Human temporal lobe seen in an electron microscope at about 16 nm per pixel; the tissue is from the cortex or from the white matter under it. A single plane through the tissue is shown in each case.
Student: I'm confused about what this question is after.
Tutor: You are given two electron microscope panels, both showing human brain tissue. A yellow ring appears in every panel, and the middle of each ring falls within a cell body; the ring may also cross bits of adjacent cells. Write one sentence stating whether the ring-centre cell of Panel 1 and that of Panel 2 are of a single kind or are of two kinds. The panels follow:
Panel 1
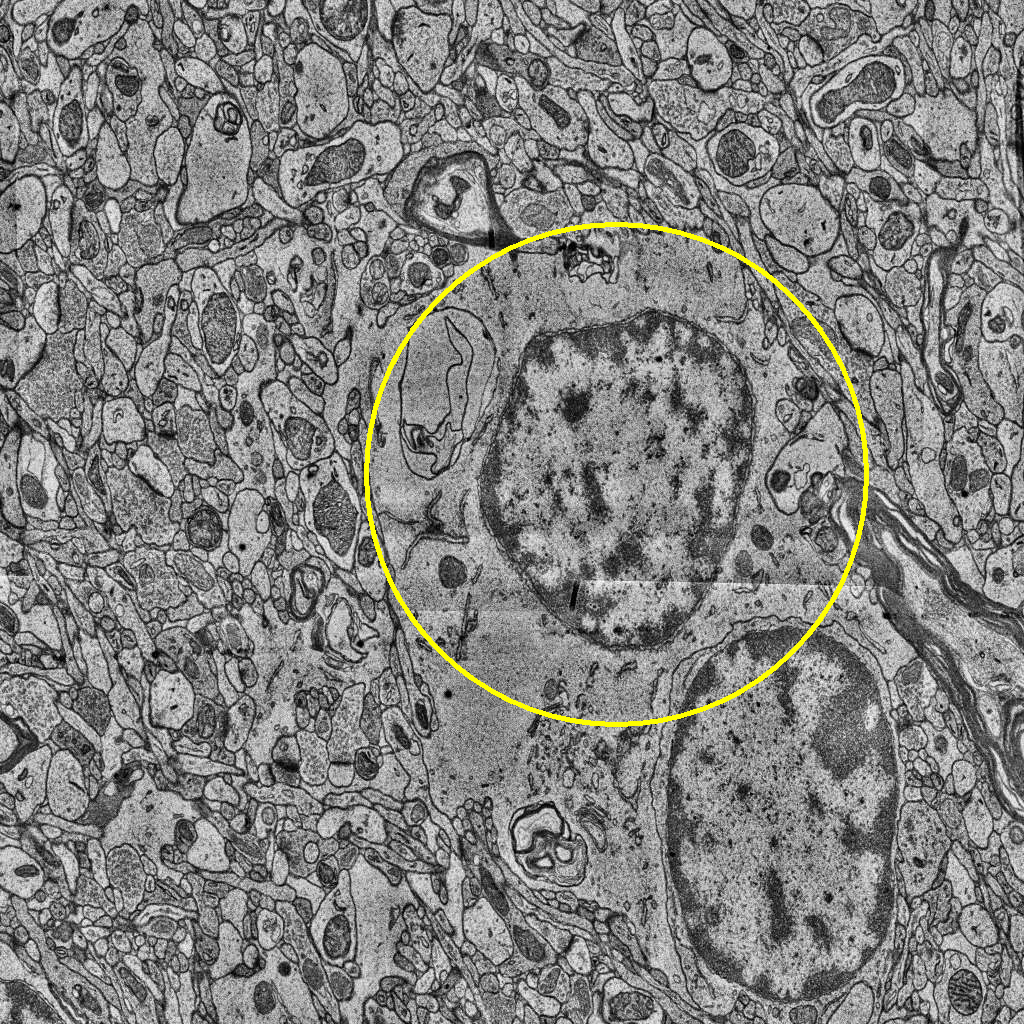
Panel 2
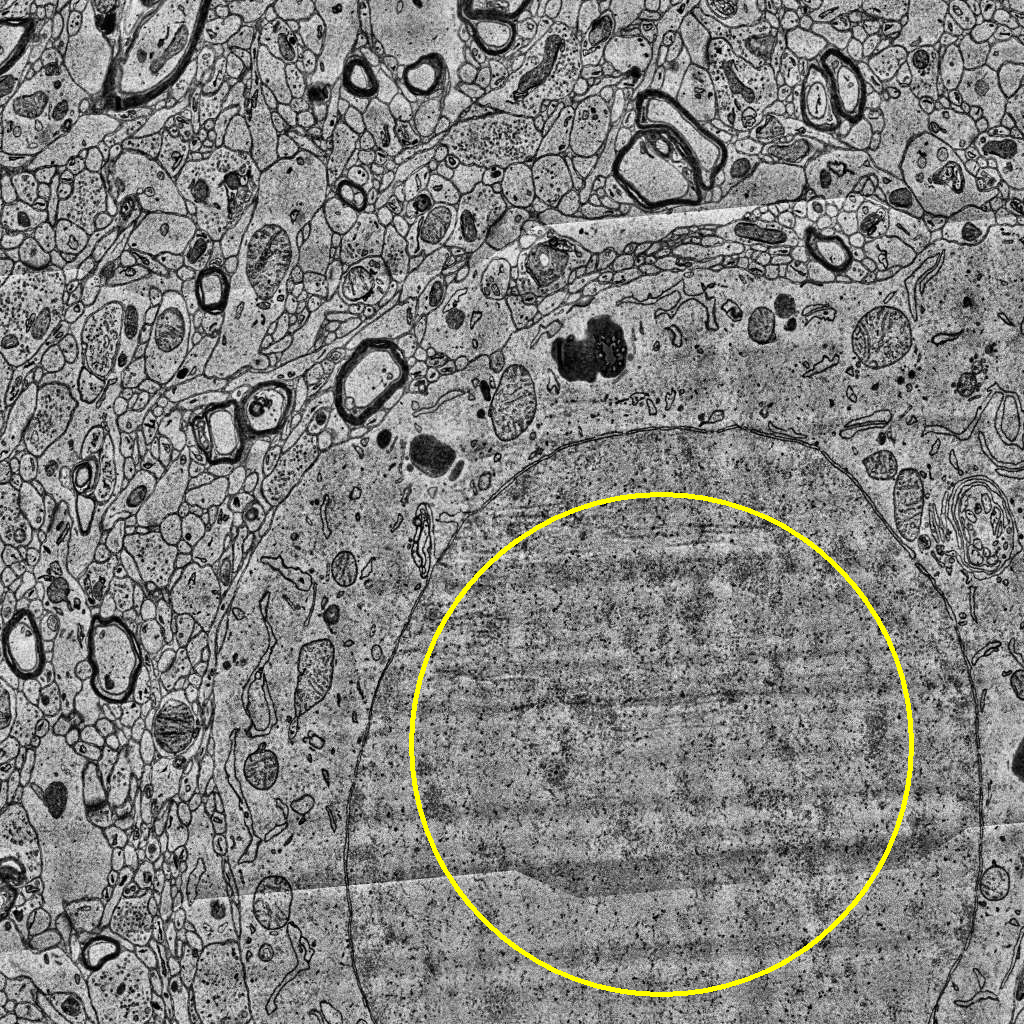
Here, the Panel 1 ring-centre cell and the Panel 2 ring-centre cell are of two kinds.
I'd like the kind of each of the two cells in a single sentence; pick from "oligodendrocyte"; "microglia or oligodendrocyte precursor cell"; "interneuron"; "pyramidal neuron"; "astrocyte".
In the first picture it is an astrocyte; in the second it is a pyramidal neuron.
